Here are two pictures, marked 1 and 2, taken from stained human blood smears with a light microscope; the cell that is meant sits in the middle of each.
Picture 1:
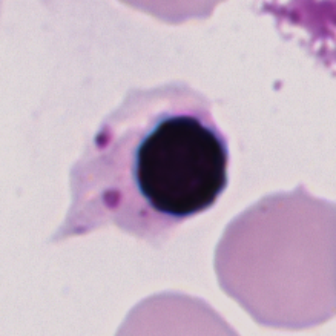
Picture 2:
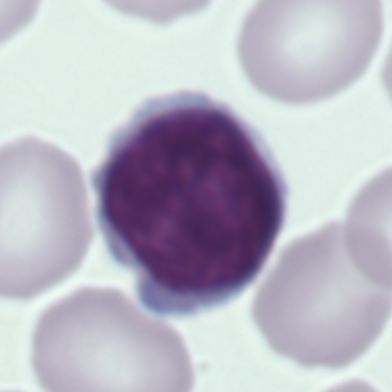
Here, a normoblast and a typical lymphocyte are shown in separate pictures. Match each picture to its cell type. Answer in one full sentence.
The cell in picture 1 is a normoblast, and the one in picture 2 is a typical lymphocyte.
